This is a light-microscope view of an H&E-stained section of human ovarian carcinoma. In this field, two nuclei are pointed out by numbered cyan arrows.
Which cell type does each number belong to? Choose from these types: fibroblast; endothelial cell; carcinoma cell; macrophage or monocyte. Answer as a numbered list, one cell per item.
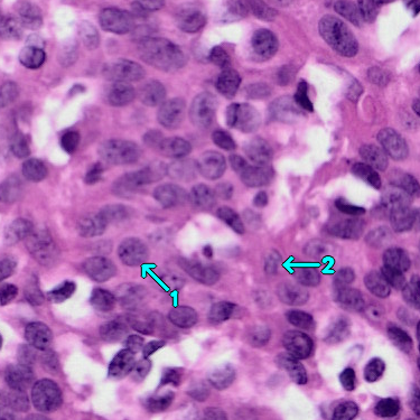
1. carcinoma cell
2. endothelial cell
